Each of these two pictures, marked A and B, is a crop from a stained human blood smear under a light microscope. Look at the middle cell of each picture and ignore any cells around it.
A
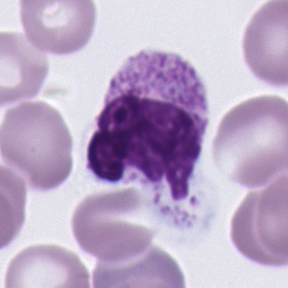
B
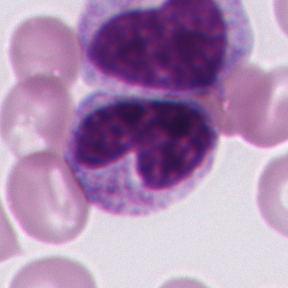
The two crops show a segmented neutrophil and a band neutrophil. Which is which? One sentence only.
Crop A is a segmented neutrophil, and, separately, crop B is a band neutrophil.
